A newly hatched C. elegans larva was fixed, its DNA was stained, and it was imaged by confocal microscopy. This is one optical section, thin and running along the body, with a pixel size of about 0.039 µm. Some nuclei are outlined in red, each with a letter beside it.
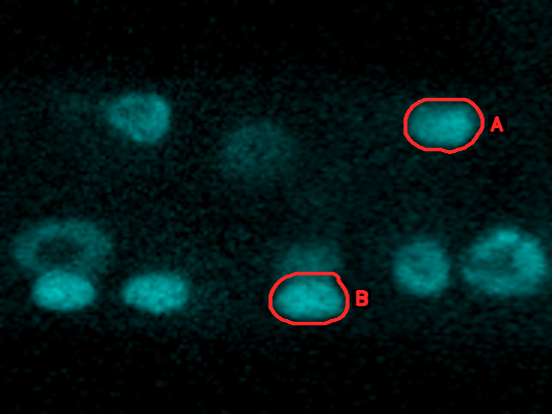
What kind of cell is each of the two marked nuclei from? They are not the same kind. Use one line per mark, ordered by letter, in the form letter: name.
A: body wall muscle cell
B: neuron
